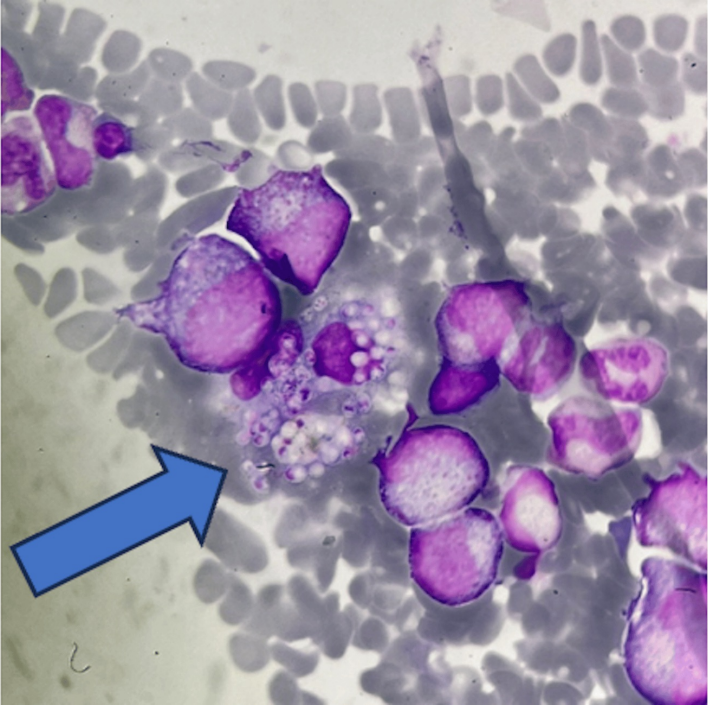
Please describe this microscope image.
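In this bone marrow smear, one cell has cytoplasm crowded with intracytoplasmic inclusions: many small round bodies, each a small purple dot with a clear halo, packed around a purple nucleus. Larger marrow cells with purple nuclei lie beside it, and grey-lilac red cells fill the background.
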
